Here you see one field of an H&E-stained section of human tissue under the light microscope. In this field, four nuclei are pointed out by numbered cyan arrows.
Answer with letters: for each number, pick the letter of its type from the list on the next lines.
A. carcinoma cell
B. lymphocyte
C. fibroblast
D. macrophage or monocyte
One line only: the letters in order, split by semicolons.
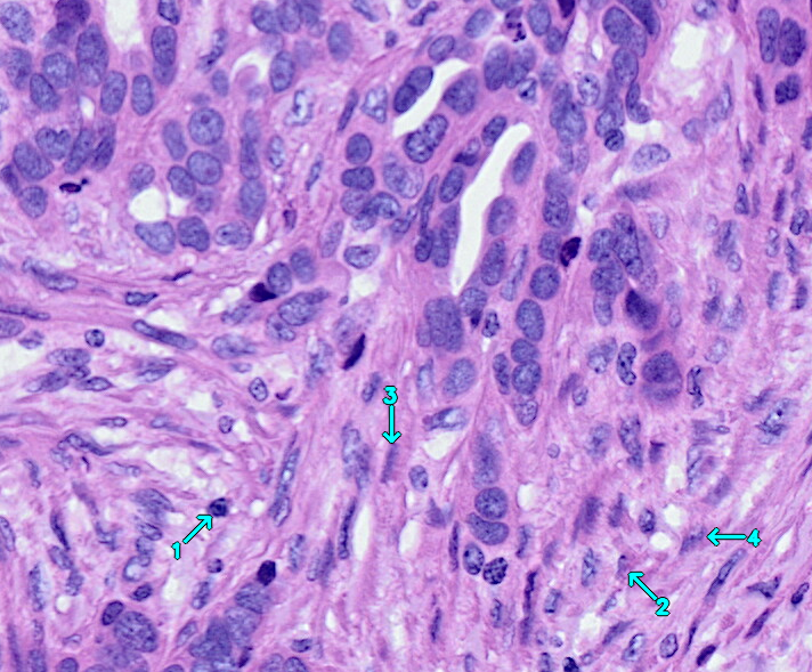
B; C; C; C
